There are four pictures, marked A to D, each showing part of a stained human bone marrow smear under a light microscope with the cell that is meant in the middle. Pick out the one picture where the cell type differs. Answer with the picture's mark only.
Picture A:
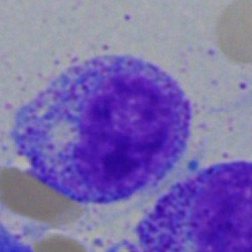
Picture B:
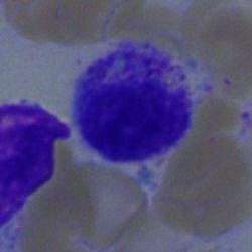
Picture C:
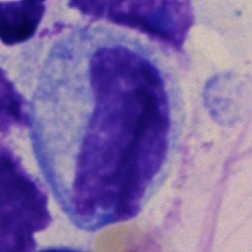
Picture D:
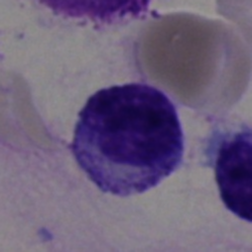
C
